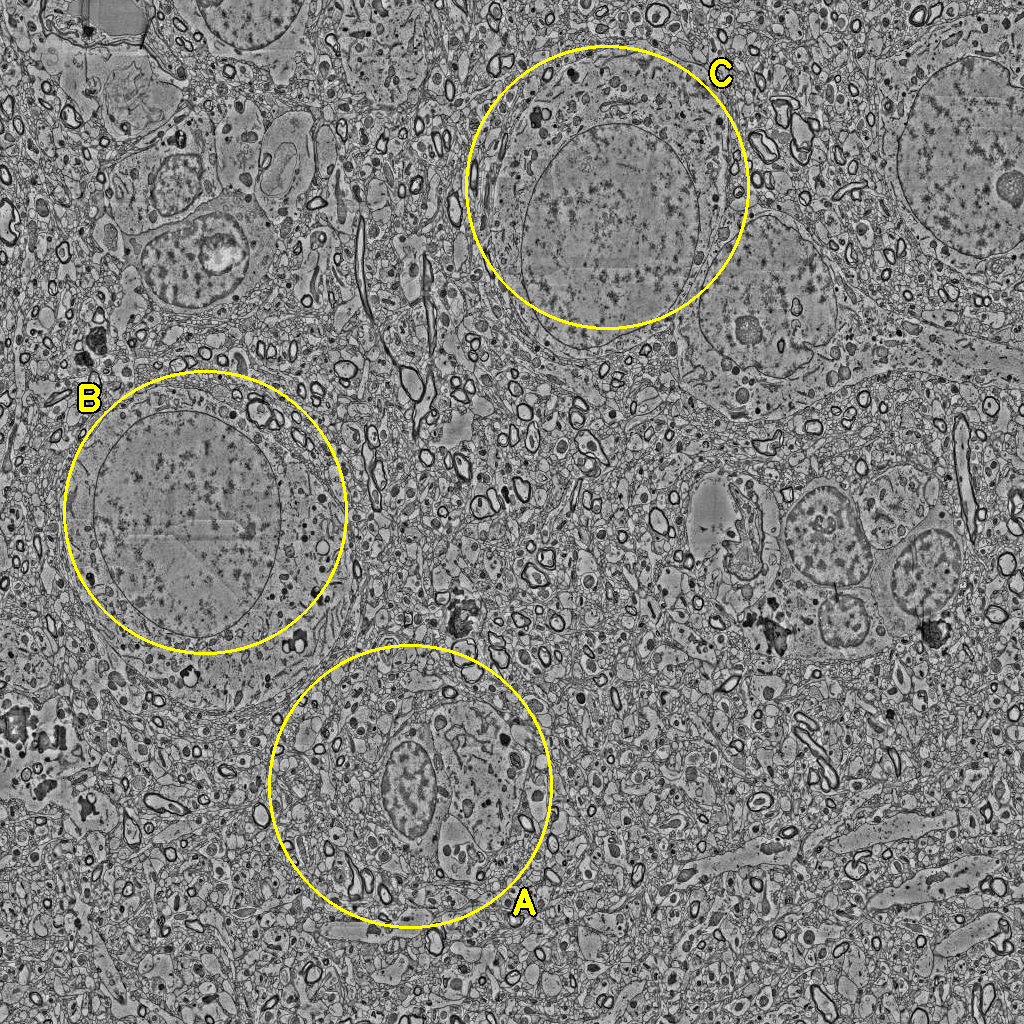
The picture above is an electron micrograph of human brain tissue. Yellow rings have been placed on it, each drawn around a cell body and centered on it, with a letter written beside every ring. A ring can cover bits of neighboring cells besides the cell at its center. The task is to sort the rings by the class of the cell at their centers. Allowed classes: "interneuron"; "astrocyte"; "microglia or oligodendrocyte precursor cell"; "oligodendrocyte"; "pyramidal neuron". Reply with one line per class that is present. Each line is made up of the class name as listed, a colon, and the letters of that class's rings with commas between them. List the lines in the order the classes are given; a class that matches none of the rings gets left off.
oligodendrocyte: A
pyramidal neuron: B, C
